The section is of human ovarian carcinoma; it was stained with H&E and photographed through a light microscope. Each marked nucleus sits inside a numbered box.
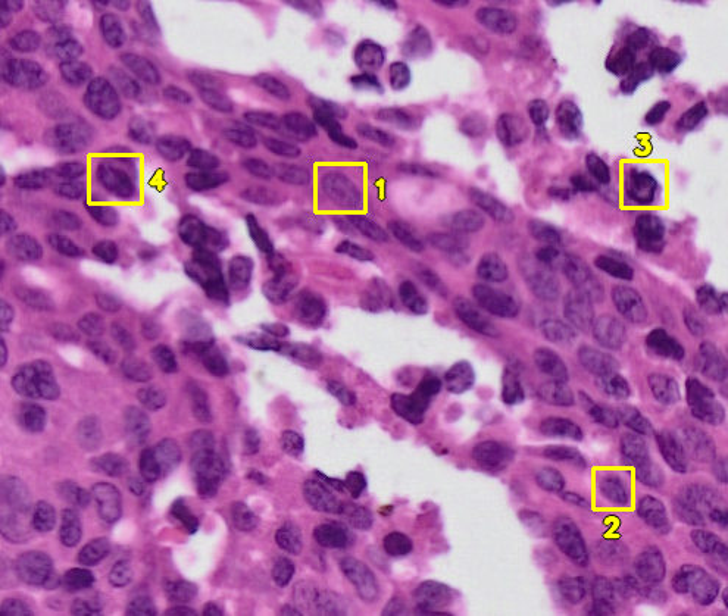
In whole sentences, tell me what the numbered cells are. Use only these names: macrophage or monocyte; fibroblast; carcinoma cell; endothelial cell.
Cells 1, 3 and 4 are carcinoma cells. Cell 2 is a macrophage or monocyte.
